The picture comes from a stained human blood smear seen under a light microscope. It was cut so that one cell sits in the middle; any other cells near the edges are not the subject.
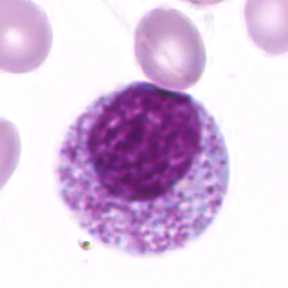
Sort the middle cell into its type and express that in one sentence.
In the central position of this crop, the cell is a myelocyte.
